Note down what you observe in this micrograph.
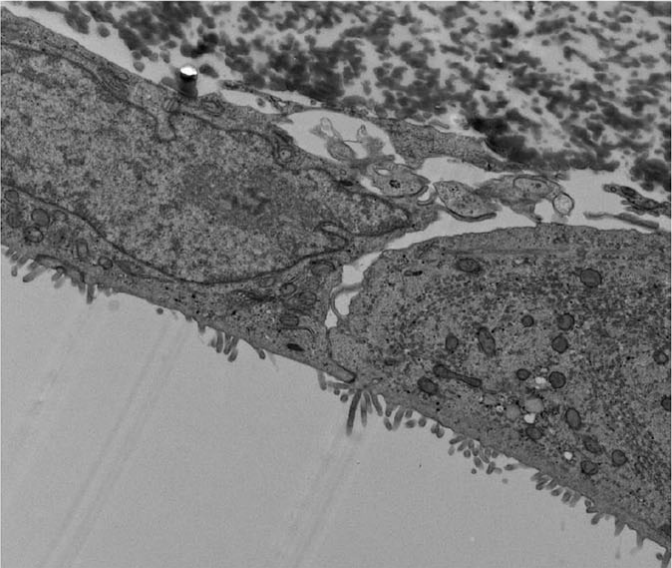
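This electron micrograph shows a thin layer of flattened epithelial cells lying side by side. The free surface facing the pale open space at lower left bears a dense fringe of short finger-like microvilli, while the opposite surface faces a dark granular material at the top. Neighbouring cells are joined along their sides, with some narrow clefts and membrane-bound profiles between them.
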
